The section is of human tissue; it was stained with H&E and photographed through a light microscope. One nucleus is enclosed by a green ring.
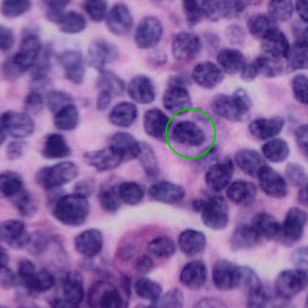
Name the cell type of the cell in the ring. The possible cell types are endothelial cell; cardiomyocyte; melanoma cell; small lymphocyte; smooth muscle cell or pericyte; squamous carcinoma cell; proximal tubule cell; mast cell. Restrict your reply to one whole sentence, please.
By cell type, the cell in the ring is a small lymphocyte.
